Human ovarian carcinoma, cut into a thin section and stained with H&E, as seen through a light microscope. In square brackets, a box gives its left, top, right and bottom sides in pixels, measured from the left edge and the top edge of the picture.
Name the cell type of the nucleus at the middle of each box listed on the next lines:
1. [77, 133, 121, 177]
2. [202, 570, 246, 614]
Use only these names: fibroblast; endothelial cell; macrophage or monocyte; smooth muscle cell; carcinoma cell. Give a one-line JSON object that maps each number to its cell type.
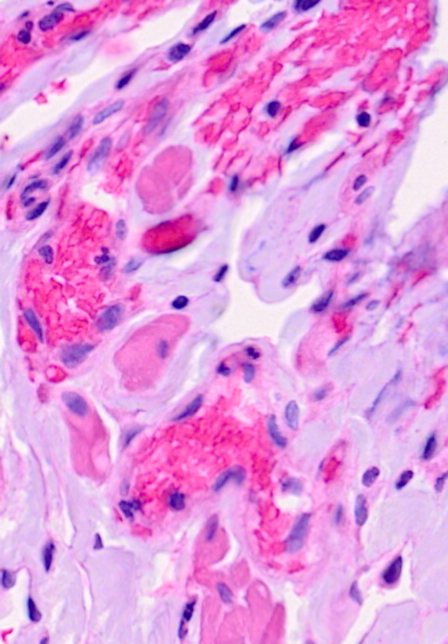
{"1": "endothelial cell", "2": "smooth muscle cell"}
